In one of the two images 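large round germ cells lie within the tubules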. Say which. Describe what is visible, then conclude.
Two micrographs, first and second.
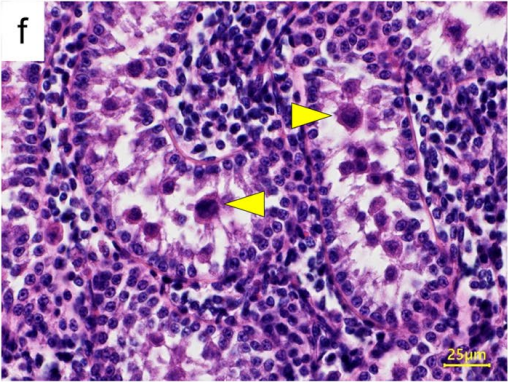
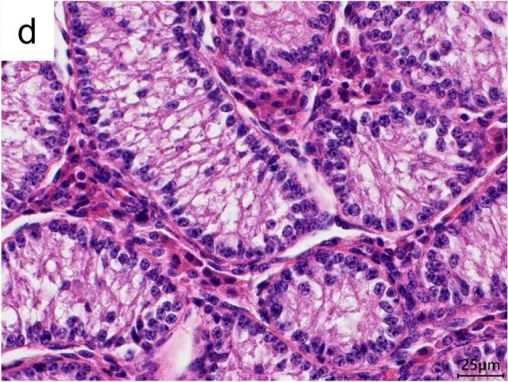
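The first image. Second image: tubules hold only one layer of cells with pale foamy cytoplasm.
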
